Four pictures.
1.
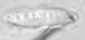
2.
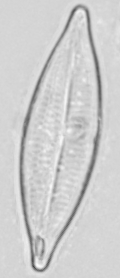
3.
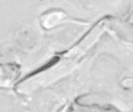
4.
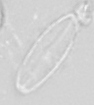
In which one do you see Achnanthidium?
In picture 3.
